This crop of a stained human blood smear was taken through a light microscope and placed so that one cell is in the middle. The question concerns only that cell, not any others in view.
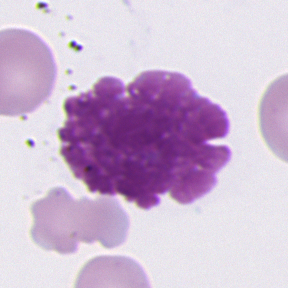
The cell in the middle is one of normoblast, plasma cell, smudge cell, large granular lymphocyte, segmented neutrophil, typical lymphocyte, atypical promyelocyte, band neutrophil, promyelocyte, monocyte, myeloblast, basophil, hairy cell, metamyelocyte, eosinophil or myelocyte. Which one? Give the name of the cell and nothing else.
smudge cell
